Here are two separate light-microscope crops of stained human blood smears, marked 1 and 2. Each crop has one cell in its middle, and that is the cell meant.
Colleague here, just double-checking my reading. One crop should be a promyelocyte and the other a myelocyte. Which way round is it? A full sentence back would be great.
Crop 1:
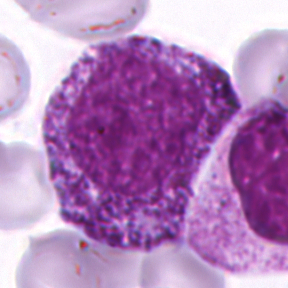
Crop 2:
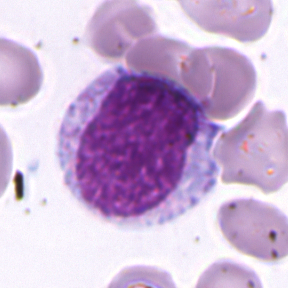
In short, crop 1 is a promyelocyte and crop 2 is a myelocyte.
